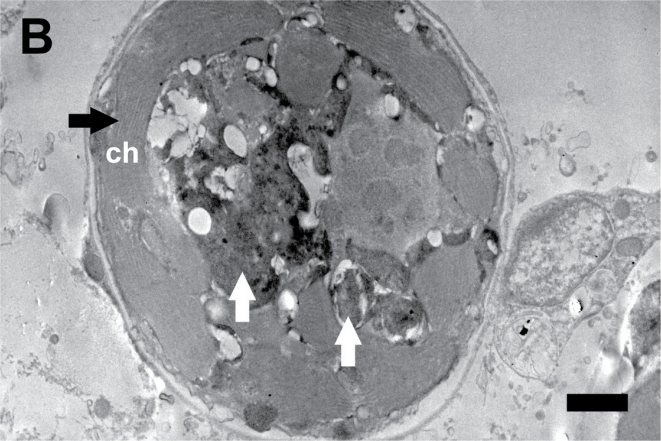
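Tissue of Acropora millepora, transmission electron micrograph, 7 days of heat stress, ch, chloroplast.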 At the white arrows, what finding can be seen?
degraded internal structures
